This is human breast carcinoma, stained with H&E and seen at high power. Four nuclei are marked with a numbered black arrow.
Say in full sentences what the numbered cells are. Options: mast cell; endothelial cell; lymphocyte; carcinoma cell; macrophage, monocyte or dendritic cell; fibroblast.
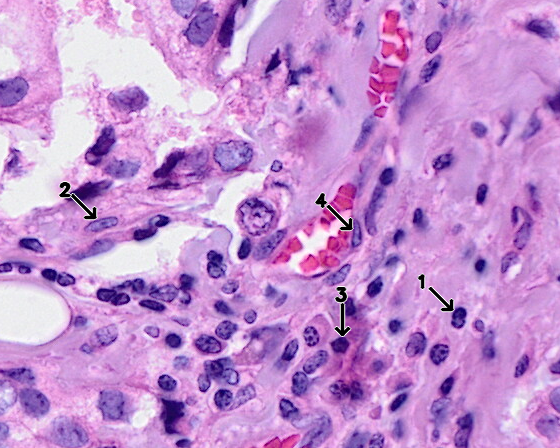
Cell 1 is a lymphocyte, cell 2 is an endothelial cell, cell 3 is a lymphocyte and cell 4 is an endothelial cell.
